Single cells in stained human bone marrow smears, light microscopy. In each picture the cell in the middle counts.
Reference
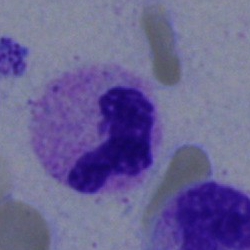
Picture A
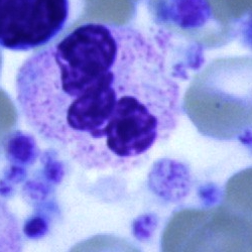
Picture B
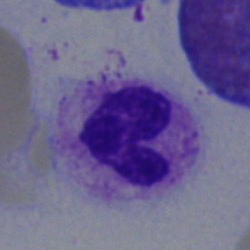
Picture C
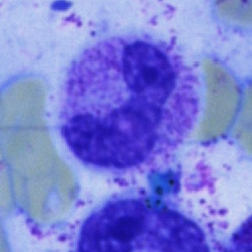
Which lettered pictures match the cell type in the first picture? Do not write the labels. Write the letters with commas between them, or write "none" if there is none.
A, B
